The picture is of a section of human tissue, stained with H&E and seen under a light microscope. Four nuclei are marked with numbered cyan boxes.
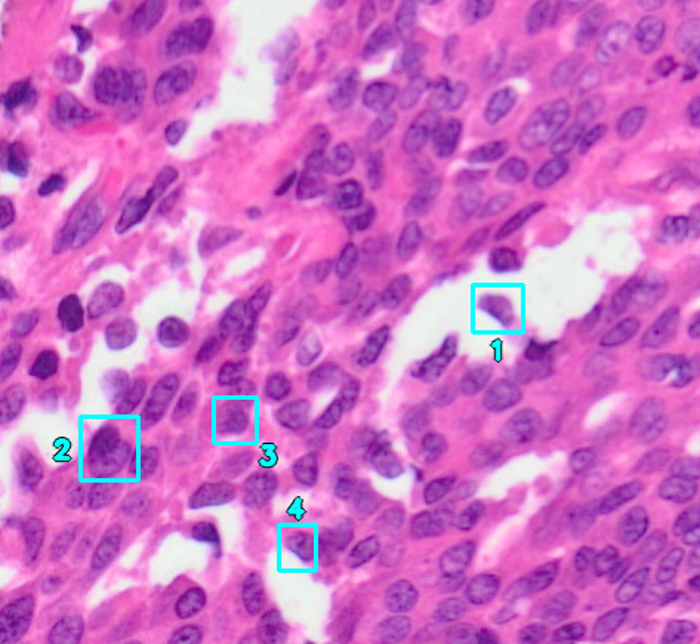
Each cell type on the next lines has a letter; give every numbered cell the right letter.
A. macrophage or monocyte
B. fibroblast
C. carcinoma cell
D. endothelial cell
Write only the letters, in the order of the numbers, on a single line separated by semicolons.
C; C; C; A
